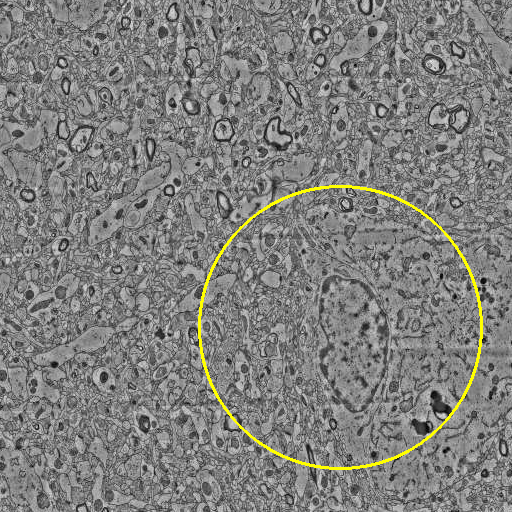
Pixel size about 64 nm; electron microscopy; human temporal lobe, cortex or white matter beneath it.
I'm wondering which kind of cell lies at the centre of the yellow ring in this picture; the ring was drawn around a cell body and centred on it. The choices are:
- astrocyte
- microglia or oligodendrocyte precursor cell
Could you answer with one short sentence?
At the centre of the ring lies a microglial cell or oligodendrocyte precursor cell.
